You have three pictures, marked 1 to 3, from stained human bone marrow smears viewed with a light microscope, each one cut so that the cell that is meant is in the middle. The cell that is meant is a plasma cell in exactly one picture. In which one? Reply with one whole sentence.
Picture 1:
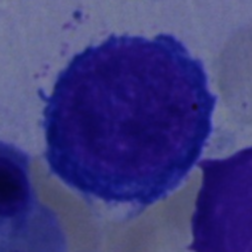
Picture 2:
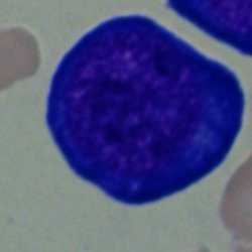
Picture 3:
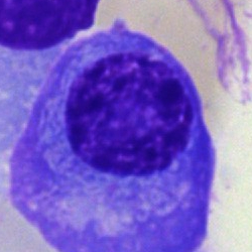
The picture with the plasma cell is 3.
